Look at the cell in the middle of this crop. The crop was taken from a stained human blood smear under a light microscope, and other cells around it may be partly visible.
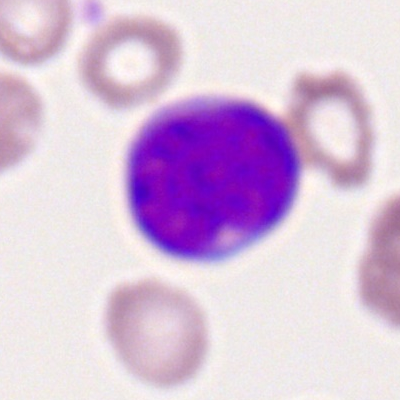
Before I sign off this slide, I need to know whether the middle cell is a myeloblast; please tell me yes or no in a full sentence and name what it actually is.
Yes, what sits in the middle of the crop is a myeloblast.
